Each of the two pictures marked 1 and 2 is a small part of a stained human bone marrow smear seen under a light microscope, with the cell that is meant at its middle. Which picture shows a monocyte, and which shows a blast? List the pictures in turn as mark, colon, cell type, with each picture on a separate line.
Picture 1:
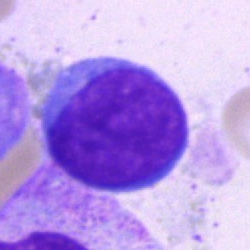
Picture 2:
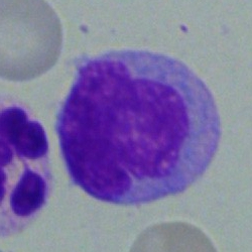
1: blast
2: monocyte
